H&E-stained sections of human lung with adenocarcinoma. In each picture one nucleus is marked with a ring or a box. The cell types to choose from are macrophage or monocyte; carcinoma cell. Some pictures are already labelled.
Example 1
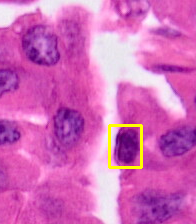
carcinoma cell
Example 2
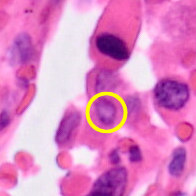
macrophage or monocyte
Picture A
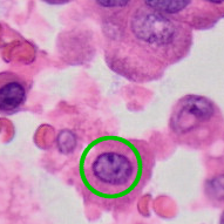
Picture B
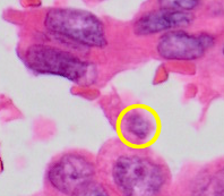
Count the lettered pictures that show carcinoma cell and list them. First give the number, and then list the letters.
0, none of them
